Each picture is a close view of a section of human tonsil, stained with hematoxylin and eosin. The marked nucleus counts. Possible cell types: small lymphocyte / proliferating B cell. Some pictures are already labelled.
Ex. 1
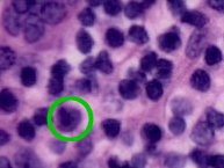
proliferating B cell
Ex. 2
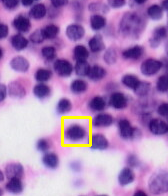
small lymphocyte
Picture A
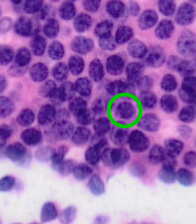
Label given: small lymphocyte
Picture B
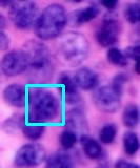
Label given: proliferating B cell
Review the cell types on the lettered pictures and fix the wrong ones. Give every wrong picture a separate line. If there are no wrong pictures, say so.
Nothing to fix; every label fits.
